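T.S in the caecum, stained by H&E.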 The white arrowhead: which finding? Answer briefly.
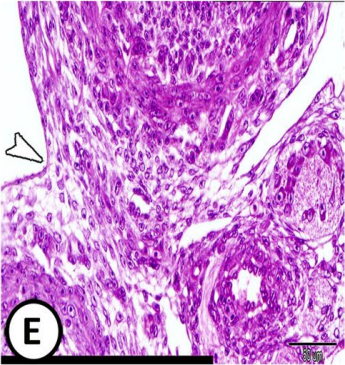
Incomplete separation of serosa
